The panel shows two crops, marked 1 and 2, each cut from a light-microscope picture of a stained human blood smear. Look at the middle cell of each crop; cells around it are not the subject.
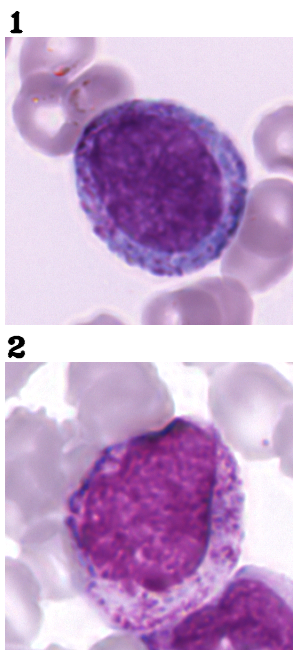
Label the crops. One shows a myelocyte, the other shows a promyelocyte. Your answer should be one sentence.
So, crop 1 is a promyelocyte, and crop 2 is a myelocyte.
